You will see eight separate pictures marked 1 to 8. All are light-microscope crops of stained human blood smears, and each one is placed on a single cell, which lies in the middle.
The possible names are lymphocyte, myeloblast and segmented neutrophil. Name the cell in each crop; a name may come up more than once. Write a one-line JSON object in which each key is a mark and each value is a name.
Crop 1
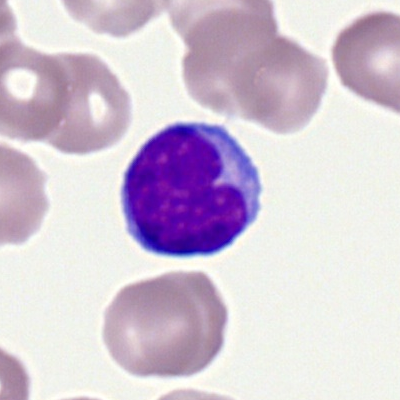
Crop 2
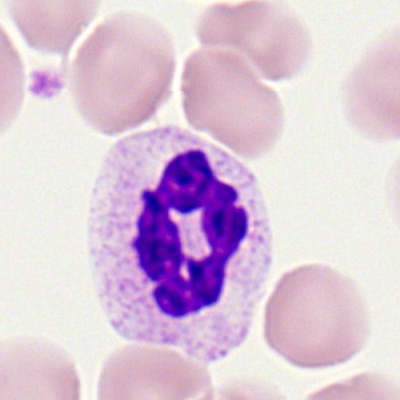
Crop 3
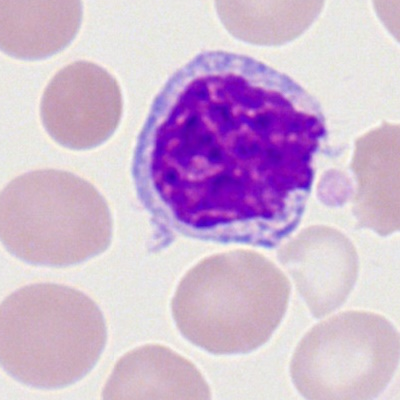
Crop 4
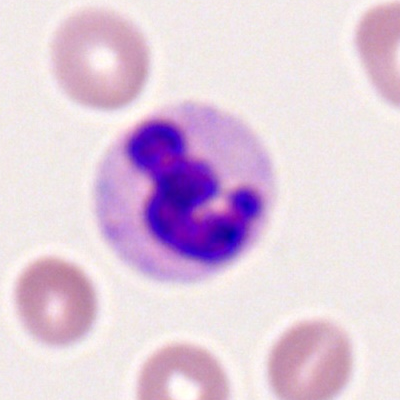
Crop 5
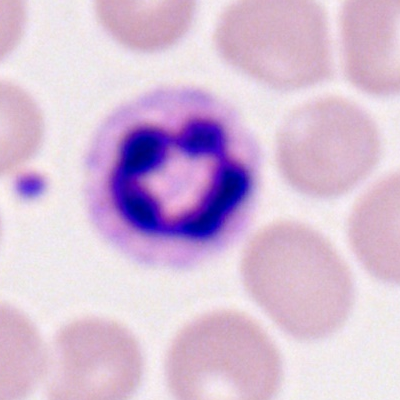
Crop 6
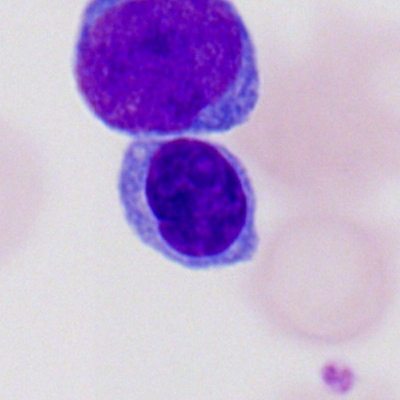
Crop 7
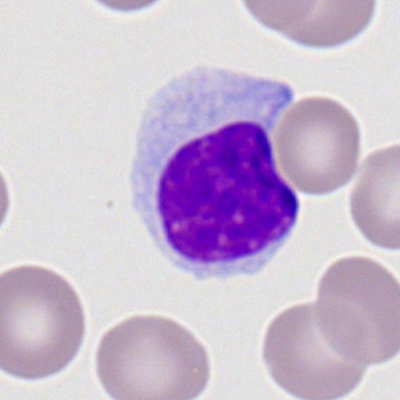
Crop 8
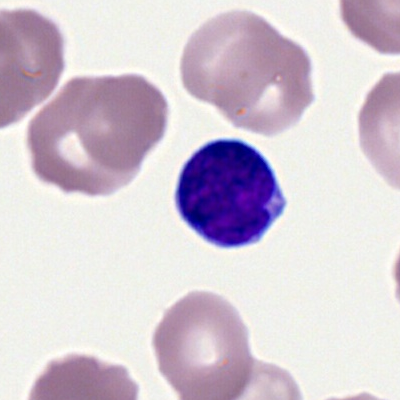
{"1": "lymphocyte", "2": "segmented neutrophil", "3": "lymphocyte", "4": "segmented neutrophil", "5": "segmented neutrophil", "6": "lymphocyte", "7": "lymphocyte", "8": "lymphocyte"}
